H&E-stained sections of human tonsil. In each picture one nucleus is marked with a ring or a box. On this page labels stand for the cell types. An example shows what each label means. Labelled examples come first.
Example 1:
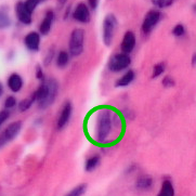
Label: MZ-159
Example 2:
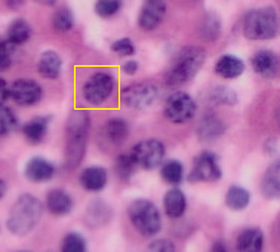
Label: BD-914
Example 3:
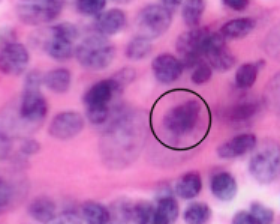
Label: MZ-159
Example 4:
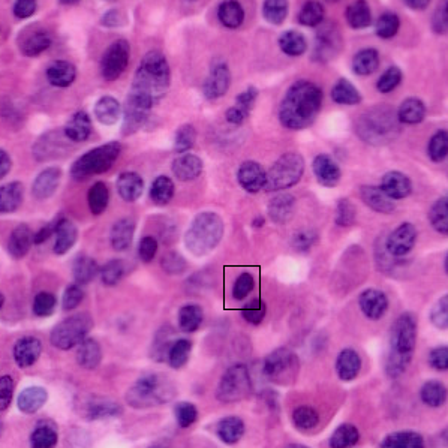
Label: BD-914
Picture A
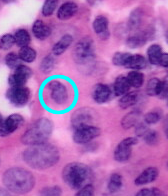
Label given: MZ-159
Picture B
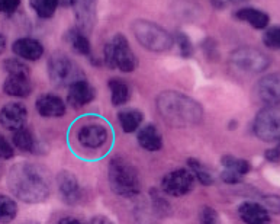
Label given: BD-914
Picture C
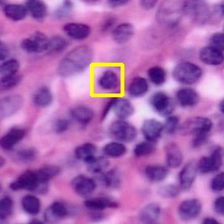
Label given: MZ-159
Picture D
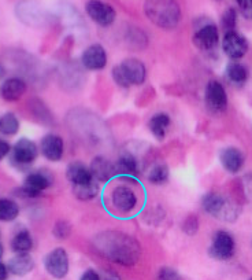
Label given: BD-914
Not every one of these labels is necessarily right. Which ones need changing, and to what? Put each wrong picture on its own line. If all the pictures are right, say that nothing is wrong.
D: not BD-914 but MZ-159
